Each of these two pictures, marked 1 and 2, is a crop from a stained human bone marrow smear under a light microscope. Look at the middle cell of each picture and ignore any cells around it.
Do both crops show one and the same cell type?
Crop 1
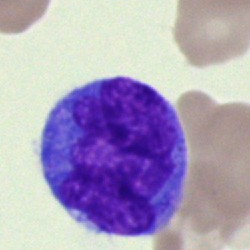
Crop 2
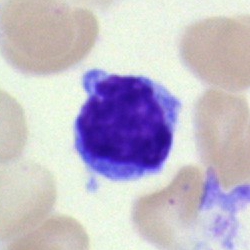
no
